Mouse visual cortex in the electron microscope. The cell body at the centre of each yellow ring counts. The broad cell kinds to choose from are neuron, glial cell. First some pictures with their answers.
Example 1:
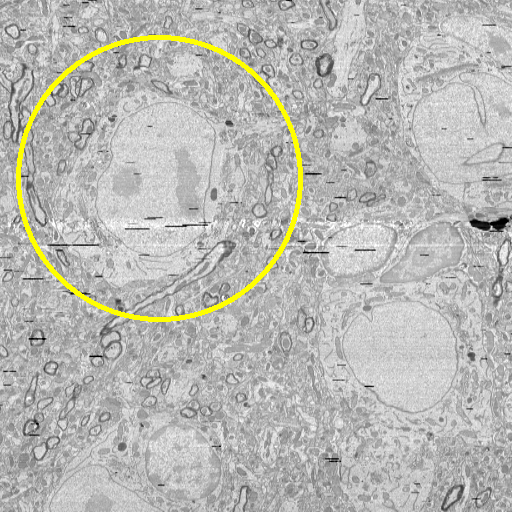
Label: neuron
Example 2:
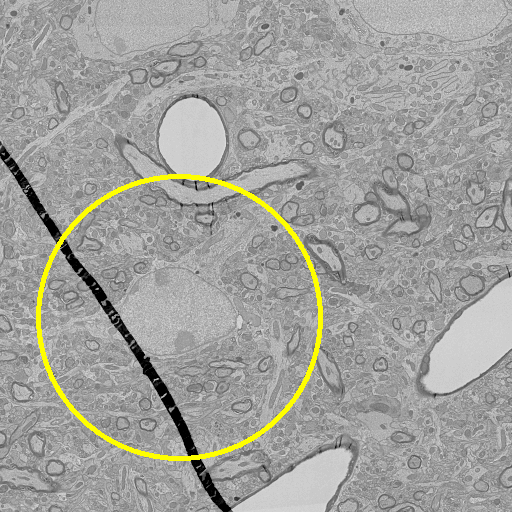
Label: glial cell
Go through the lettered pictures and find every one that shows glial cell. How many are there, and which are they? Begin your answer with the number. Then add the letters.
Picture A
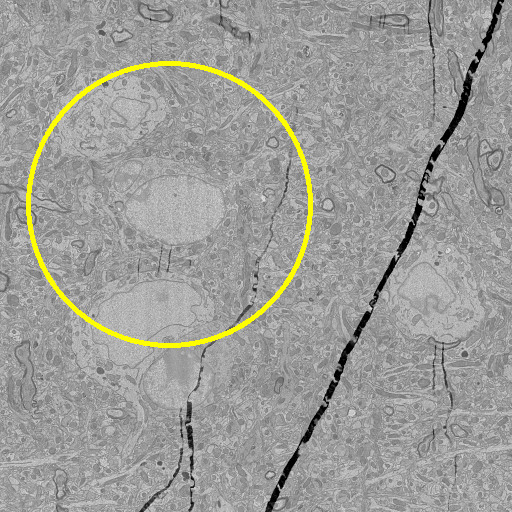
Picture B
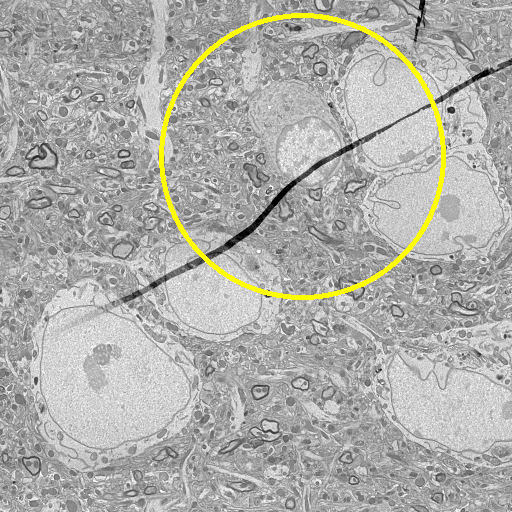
2, namely A, B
